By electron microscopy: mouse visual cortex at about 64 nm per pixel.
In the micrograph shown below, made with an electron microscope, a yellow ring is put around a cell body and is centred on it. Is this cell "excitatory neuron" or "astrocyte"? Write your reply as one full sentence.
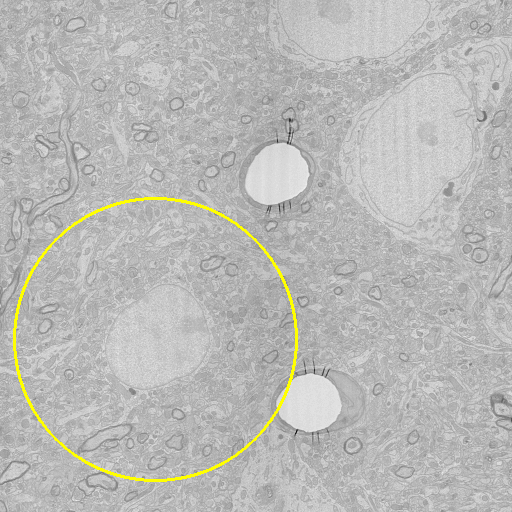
In the micrograph, an astrocyte is the cell at the centre of the yellow ring.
